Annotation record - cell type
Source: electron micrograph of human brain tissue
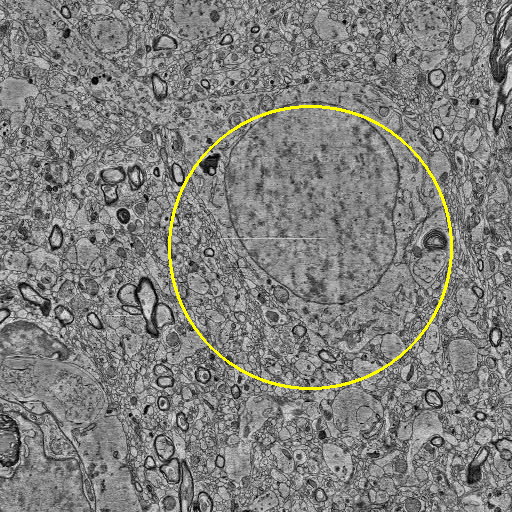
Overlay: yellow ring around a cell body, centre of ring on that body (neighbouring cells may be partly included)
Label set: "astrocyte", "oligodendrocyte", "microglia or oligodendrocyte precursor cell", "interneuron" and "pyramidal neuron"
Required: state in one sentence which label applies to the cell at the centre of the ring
This cell should be labelled as a pyramidal neuron.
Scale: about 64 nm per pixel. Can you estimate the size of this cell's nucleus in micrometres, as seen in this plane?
The nucleus of the ringed cell is approximately 14 by 11 micrometres in this plane.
